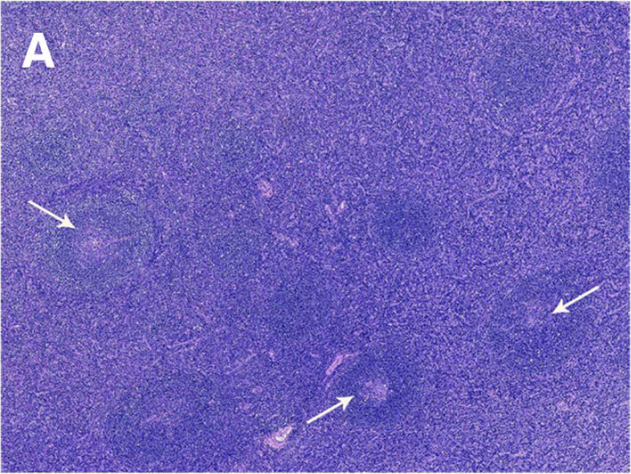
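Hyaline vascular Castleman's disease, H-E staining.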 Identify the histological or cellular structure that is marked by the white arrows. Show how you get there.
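Hypoplastic germinal centers. Arrows point to small pale centres within dark round follicles. The pale centres are small relative to the surrounding dark rims.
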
